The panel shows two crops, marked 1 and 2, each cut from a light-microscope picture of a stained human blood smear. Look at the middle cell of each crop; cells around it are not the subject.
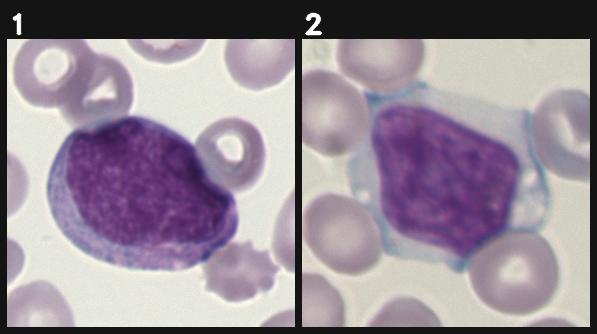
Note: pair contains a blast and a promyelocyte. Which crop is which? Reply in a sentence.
Crop 1 features a promyelocyte, and crop 2 features a blast.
